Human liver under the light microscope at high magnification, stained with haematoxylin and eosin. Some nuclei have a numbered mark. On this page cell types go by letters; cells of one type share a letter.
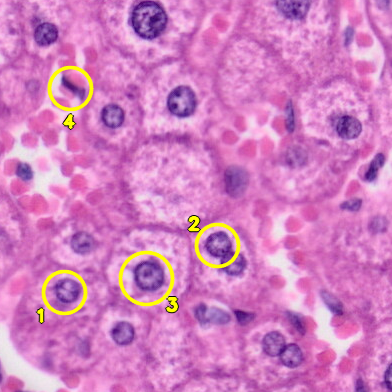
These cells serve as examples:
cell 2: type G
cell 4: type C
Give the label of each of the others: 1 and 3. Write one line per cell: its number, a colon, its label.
1: type G
3: type G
